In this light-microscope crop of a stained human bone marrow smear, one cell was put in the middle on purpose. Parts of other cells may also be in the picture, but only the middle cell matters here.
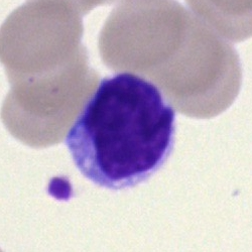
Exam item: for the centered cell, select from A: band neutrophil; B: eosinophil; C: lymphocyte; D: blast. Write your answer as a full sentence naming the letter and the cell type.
The middle of the crop contains a lymphocyte, so option C is right.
